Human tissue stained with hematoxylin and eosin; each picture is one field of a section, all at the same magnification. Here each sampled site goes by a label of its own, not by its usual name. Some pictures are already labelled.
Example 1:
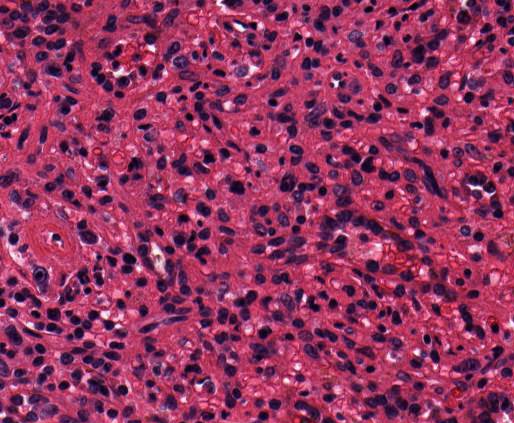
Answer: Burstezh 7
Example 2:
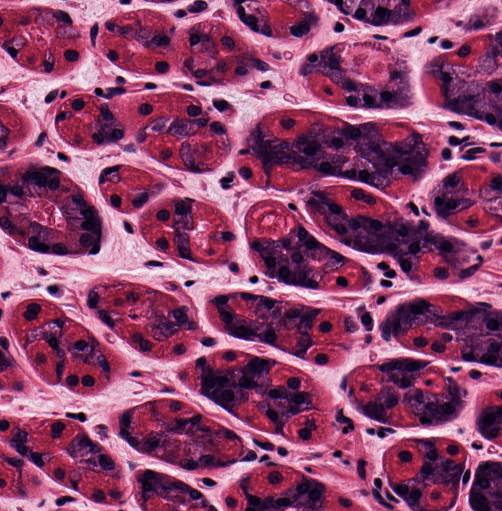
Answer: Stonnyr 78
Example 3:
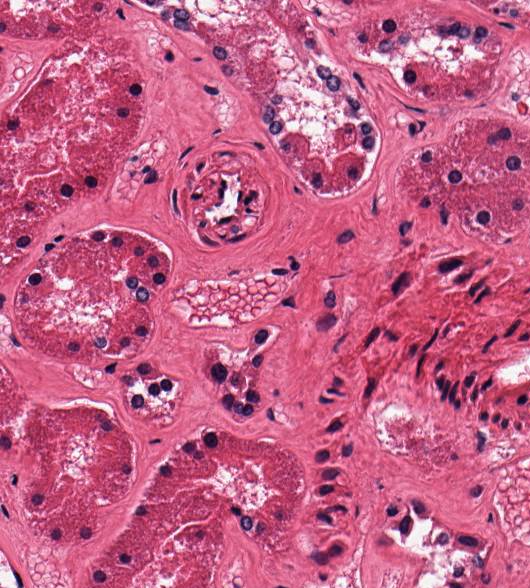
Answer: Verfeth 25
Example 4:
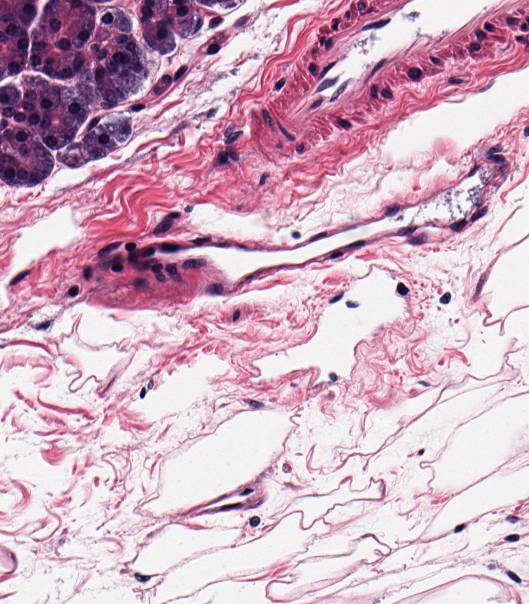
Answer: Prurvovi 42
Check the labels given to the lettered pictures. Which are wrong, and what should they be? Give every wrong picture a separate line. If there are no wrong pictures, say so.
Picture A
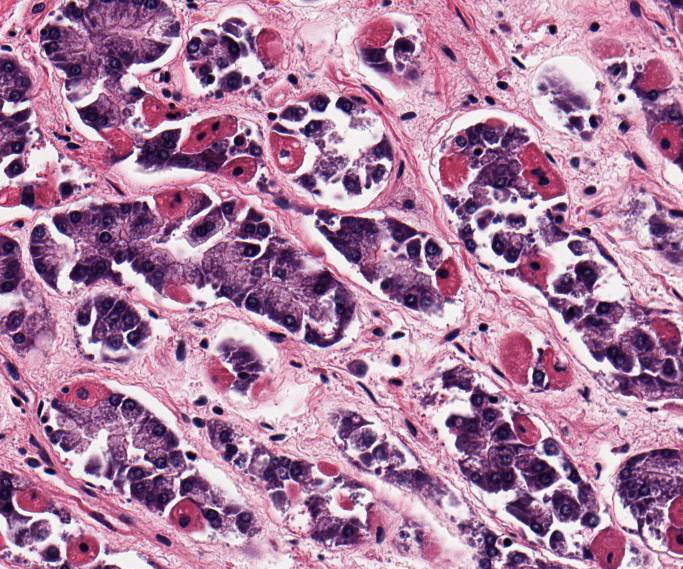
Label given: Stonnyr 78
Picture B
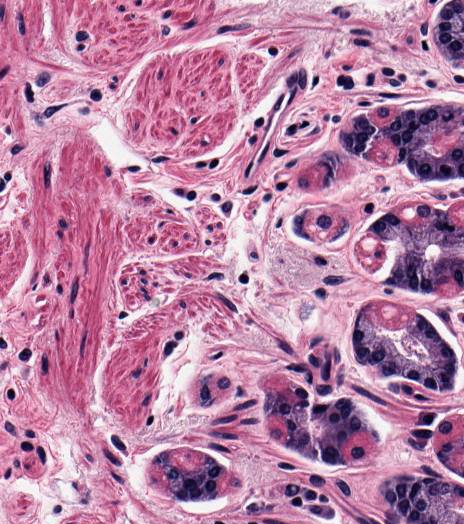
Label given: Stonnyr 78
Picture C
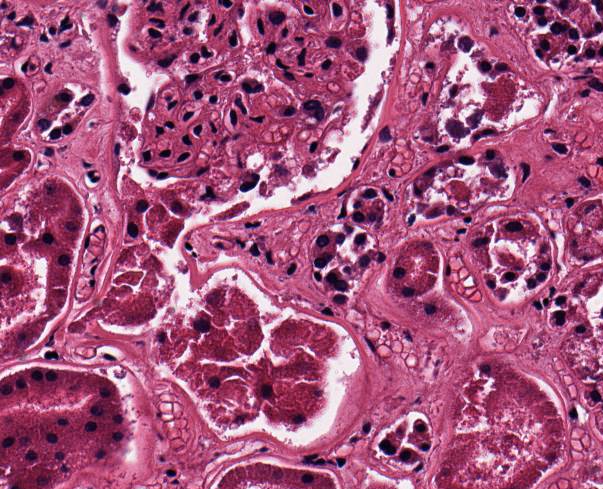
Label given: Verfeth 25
All correct.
